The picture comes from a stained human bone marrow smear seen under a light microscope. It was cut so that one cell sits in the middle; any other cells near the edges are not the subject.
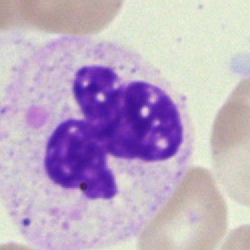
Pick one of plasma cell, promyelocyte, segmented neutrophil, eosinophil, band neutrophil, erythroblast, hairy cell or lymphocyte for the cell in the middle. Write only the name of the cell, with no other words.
segmented neutrophil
